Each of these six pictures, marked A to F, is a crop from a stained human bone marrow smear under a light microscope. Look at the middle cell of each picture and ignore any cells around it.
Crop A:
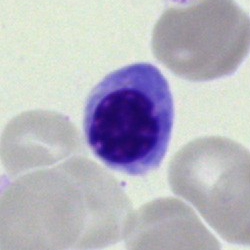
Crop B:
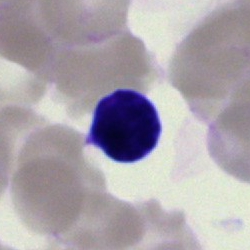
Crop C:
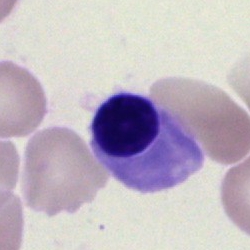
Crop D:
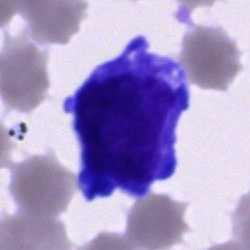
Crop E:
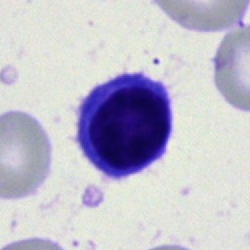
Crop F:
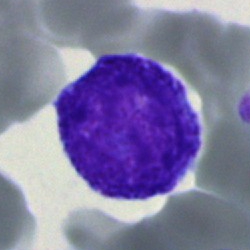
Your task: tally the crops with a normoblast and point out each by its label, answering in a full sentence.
So, in total, three crops show normoblasts: A, C and E.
